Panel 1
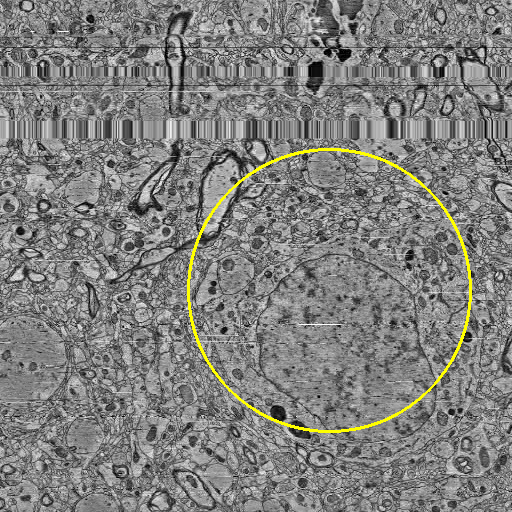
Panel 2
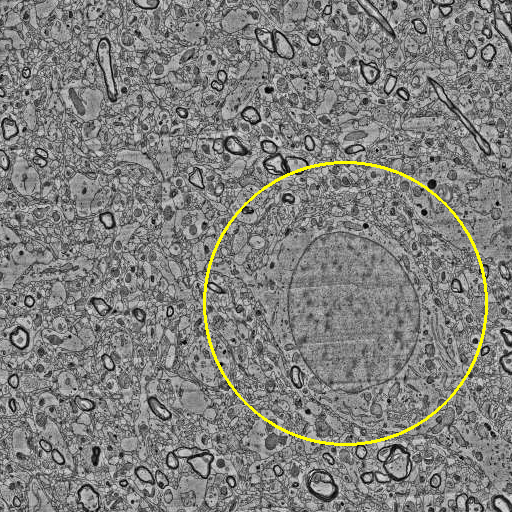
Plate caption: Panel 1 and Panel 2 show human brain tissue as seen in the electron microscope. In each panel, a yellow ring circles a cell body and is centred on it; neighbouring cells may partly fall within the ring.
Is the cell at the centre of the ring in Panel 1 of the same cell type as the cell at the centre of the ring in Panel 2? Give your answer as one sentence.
No, the two cells are of two types.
